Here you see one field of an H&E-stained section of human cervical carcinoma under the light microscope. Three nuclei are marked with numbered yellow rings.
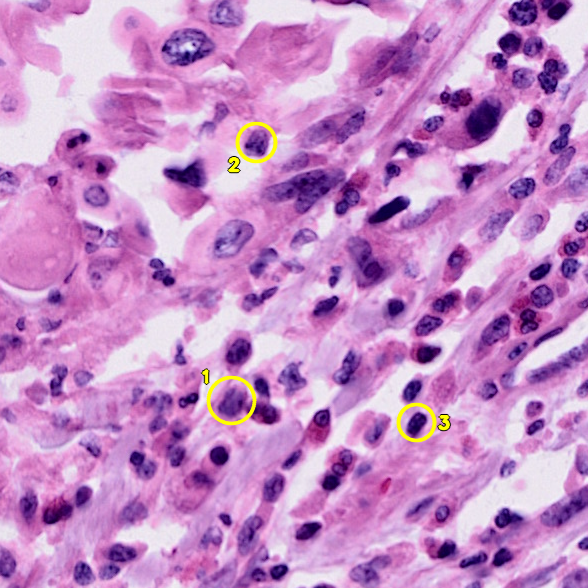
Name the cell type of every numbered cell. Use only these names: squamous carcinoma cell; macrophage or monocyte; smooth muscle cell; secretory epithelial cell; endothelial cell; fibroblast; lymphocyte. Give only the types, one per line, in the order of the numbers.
macrophage or monocyte
macrophage or monocyte
lymphocyte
